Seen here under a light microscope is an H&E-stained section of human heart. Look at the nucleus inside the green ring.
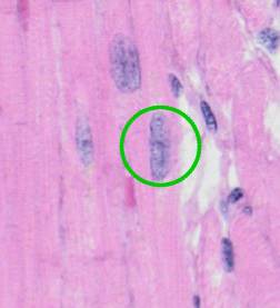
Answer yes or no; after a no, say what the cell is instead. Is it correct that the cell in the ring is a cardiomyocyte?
Yes.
